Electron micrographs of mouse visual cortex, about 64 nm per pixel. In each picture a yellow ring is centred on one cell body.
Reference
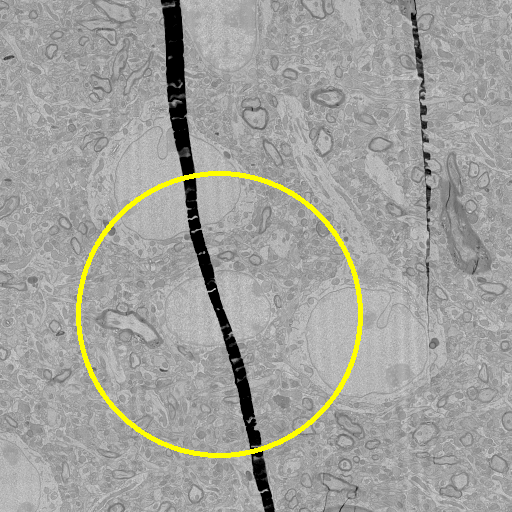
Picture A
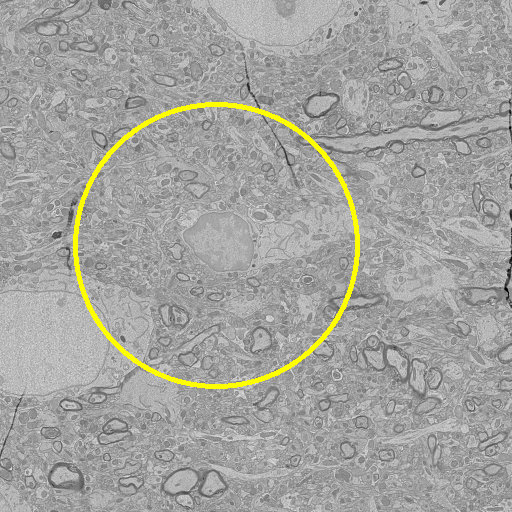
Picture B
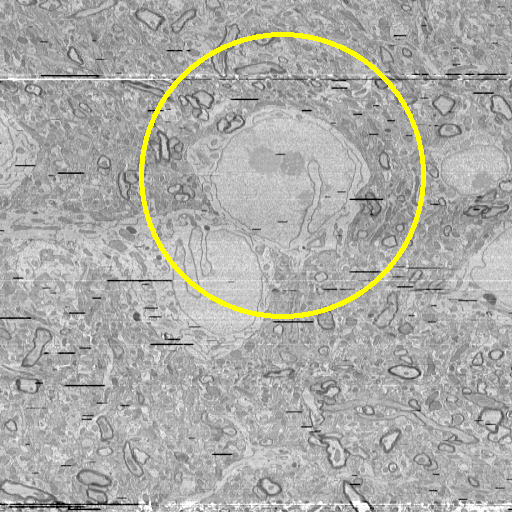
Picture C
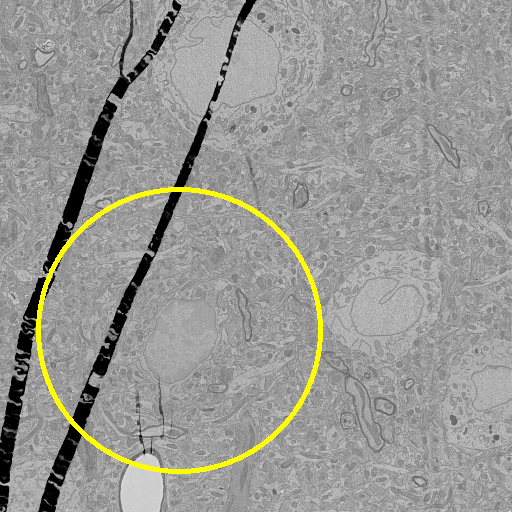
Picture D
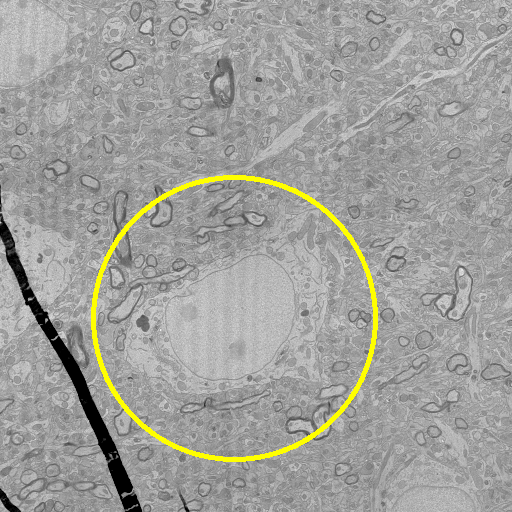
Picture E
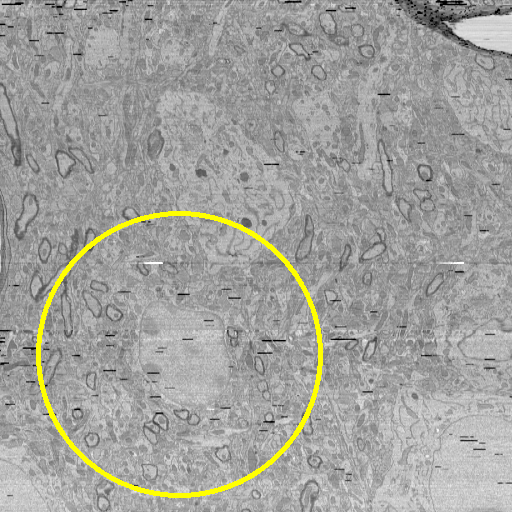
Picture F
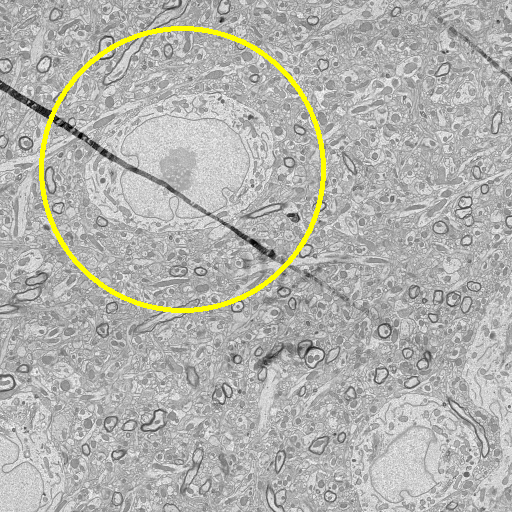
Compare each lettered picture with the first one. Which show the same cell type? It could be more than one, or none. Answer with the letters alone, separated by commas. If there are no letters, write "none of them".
E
